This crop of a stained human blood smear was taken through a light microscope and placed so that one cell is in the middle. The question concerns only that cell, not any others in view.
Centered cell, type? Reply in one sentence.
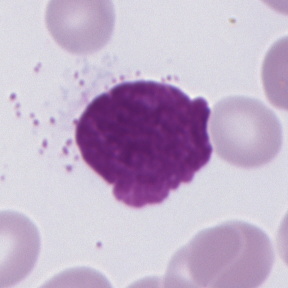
The middle cell in this particular crop is a smudge cell.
